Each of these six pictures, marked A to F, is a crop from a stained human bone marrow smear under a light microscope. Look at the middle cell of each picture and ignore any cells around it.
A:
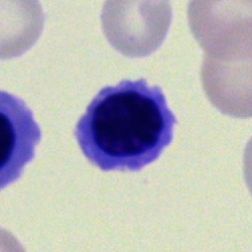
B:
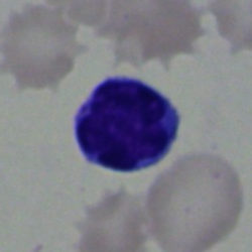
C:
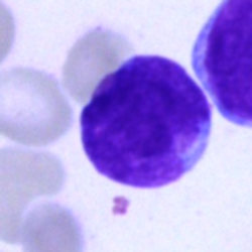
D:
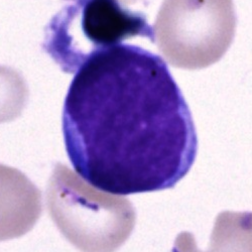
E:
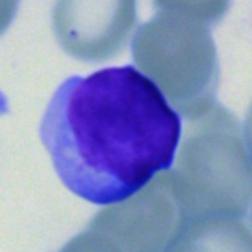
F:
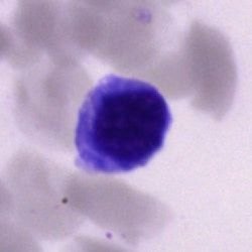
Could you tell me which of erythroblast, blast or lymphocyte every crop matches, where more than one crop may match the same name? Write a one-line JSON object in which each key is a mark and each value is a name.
{"A": "erythroblast", "B": "lymphocyte", "C": "blast", "D": "blast", "E": "lymphocyte", "F": "lymphocyte"}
